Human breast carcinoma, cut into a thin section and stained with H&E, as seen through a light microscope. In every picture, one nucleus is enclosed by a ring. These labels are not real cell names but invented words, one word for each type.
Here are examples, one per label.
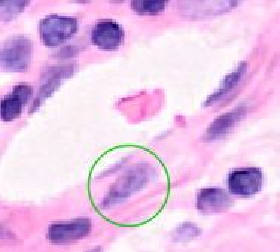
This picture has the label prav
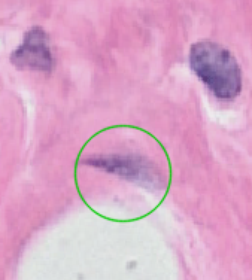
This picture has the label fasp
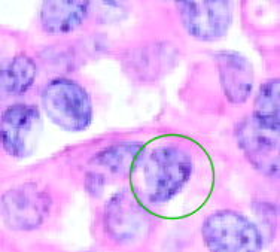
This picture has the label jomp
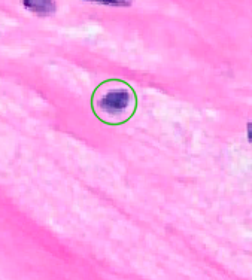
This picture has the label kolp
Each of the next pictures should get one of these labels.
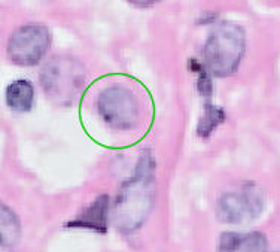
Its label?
jomp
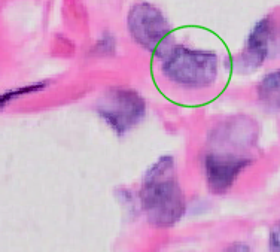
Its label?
jomp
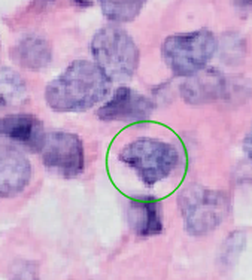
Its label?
jomp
